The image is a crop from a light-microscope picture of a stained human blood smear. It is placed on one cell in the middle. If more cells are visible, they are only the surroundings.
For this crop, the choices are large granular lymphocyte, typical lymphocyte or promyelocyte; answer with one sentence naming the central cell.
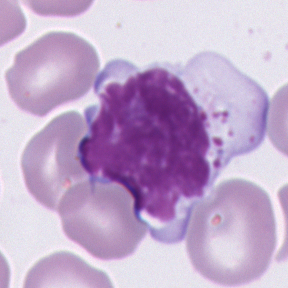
At the crop's centre, the cell is a large granular lymphocyte.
